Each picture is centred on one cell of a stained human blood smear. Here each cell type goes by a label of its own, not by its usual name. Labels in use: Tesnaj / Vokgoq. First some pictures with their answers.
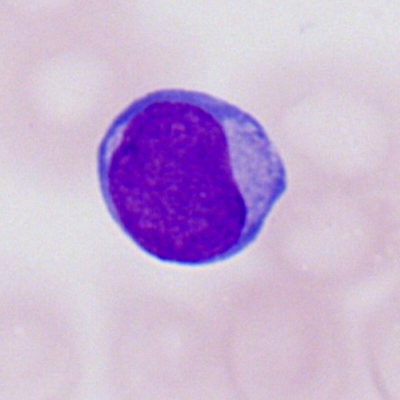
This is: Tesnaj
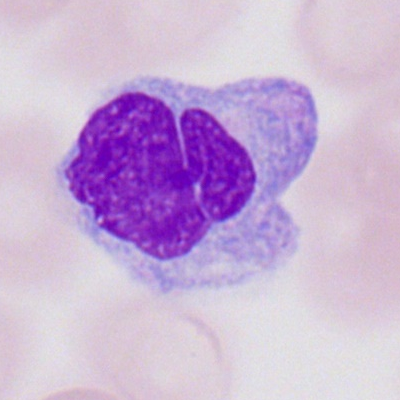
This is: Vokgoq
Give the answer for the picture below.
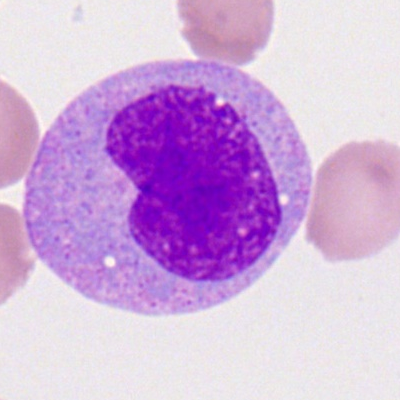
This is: Vokgoq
